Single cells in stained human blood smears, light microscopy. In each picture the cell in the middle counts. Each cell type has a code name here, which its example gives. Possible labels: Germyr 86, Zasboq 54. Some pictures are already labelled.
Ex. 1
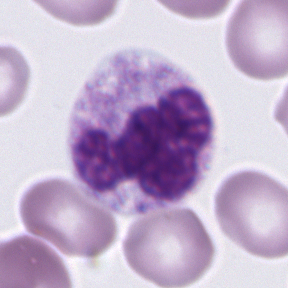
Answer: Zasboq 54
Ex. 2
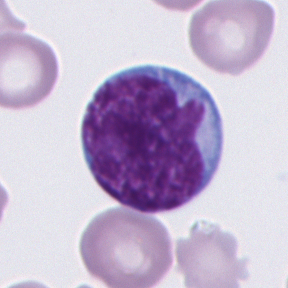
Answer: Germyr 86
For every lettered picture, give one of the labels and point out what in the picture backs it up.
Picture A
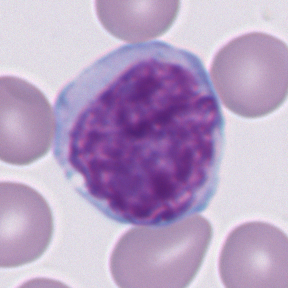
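Answer: Germyr 86. The cytoplasm is a narrow pale blue rim around the nucleus.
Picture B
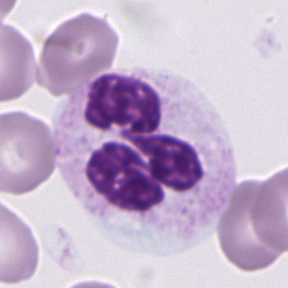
Answer: Zasboq 54. The cytoplasm is plentiful and pale lilac-pink.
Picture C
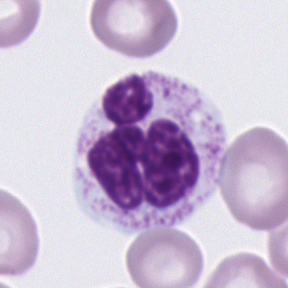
Answer: Zasboq 54. The nucleus is divided into three lobes.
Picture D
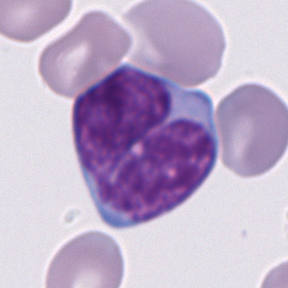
Answer: Germyr 86. The cytoplasm is a scant pale blue rim, widest at the upper right.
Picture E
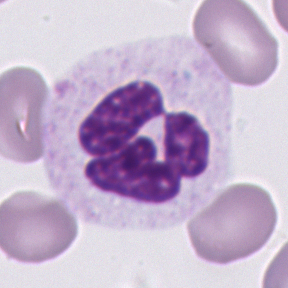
Answer: Zasboq 54. The cytoplasm is abundant and pale lilac-pink.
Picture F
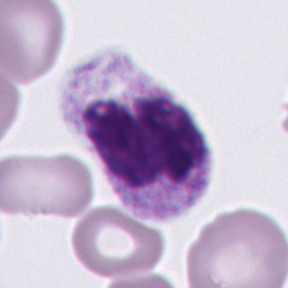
Answer: Zasboq 54. The cytoplasm is plentiful and pale lilac.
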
